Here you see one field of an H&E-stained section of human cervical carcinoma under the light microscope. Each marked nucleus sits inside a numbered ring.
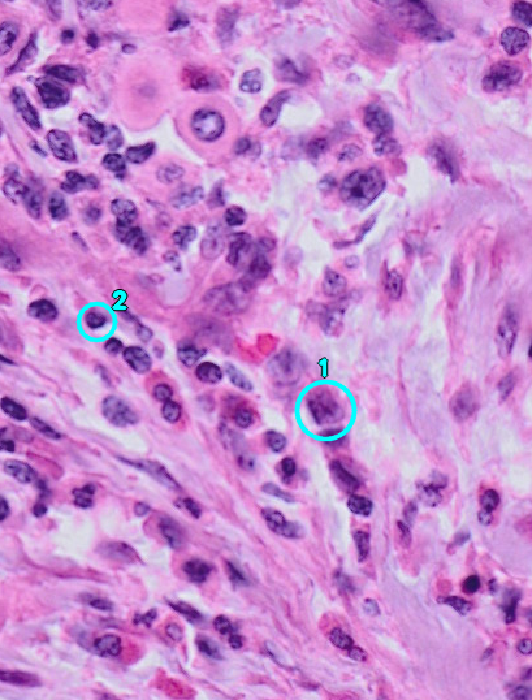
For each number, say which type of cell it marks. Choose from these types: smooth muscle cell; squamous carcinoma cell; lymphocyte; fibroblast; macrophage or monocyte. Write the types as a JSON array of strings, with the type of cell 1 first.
["macrophage or monocyte", "lymphocyte"]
